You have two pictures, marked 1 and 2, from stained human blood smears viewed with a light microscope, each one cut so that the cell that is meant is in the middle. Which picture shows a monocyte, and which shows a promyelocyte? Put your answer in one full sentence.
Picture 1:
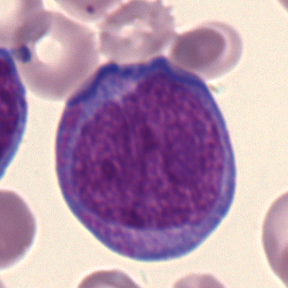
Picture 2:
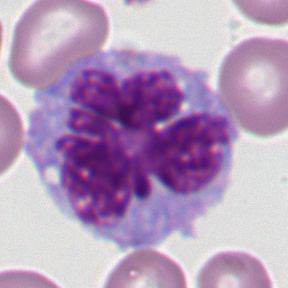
Picture 1 is of a promyelocyte, and picture 2 is of a monocyte.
